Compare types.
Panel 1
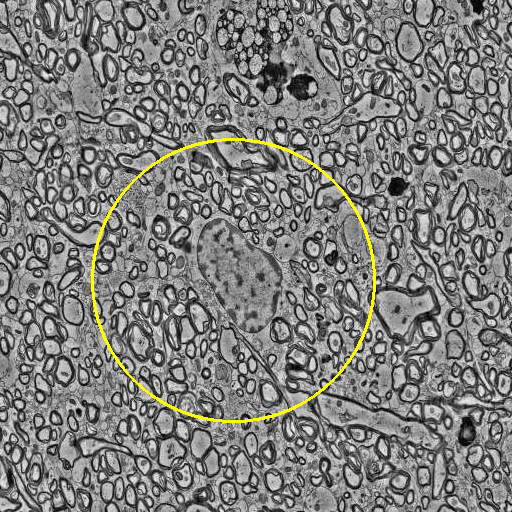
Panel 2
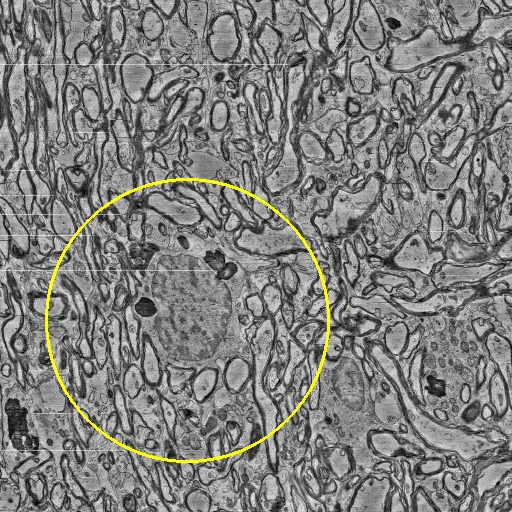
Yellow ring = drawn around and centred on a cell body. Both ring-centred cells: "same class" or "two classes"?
two classes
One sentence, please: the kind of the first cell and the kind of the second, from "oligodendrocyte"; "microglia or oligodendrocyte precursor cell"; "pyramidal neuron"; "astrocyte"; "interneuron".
The ring in the first picture surrounds a microglial cell or oligodendrocyte precursor cell, and the ring in the second surrounds an oligodendrocyte.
